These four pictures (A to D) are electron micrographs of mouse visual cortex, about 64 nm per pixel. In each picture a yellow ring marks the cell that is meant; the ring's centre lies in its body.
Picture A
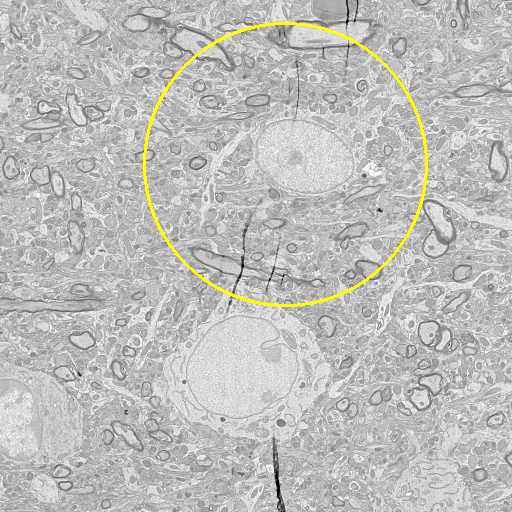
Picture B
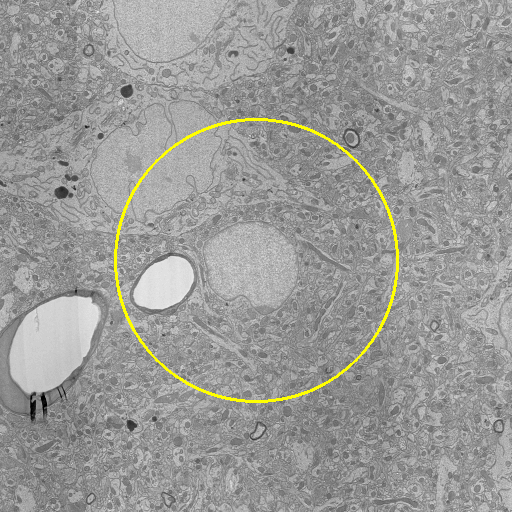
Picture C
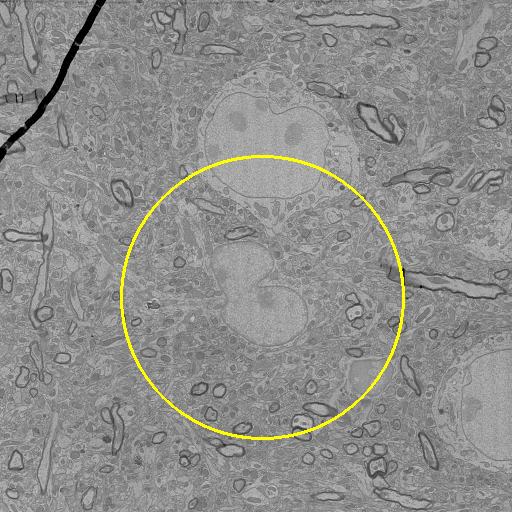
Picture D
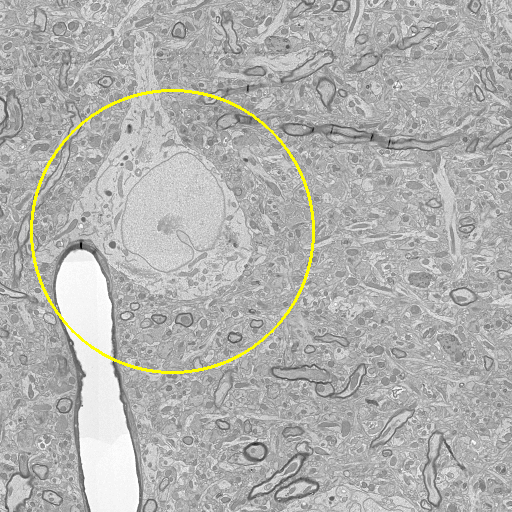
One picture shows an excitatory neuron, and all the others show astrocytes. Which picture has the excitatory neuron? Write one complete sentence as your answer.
The excitatory neuron is the one in picture D.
